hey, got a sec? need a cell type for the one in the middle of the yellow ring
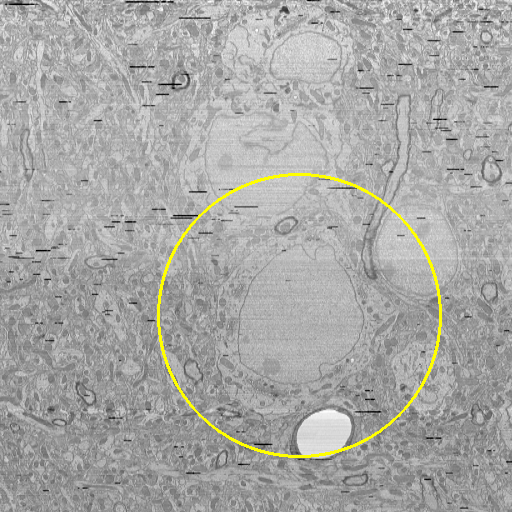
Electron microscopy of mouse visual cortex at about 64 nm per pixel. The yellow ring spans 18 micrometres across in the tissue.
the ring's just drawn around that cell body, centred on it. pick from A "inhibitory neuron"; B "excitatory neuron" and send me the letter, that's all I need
B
